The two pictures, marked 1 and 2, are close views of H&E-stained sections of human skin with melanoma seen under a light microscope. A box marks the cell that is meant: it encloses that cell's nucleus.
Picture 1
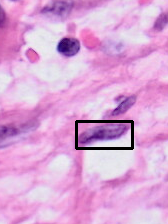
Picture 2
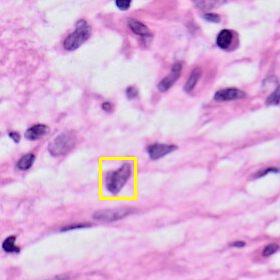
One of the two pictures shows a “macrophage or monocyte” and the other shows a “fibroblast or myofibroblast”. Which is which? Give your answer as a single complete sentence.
Picture 2 shows a “macrophage or monocyte”, while picture 1 shows a “fibroblast or myofibroblast”.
